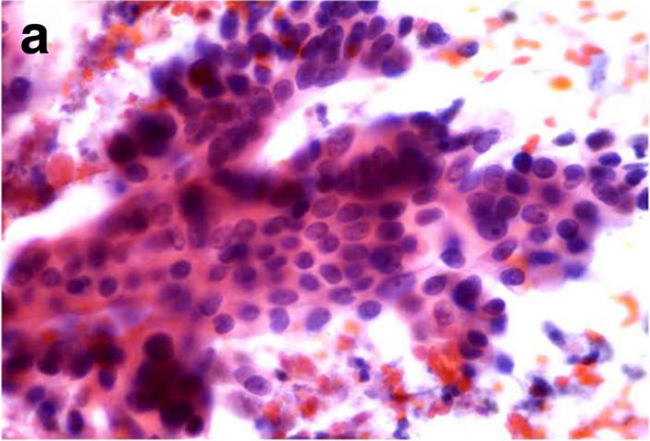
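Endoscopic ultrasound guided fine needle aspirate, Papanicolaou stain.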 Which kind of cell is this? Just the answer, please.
glandular cells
